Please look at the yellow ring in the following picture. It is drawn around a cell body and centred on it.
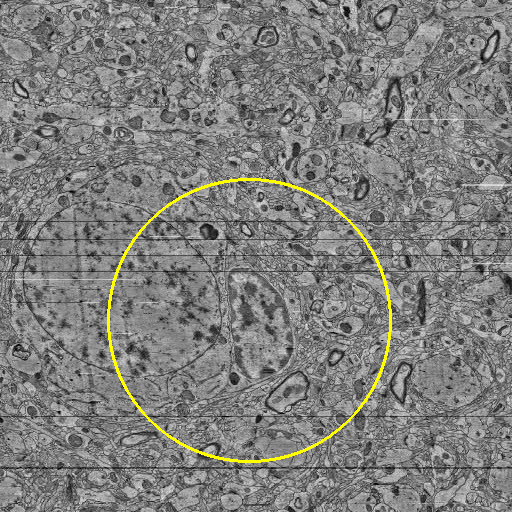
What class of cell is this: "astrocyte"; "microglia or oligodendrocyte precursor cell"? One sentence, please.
The ring surrounds the cell body of a microglial cell or oligodendrocyte precursor cell.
